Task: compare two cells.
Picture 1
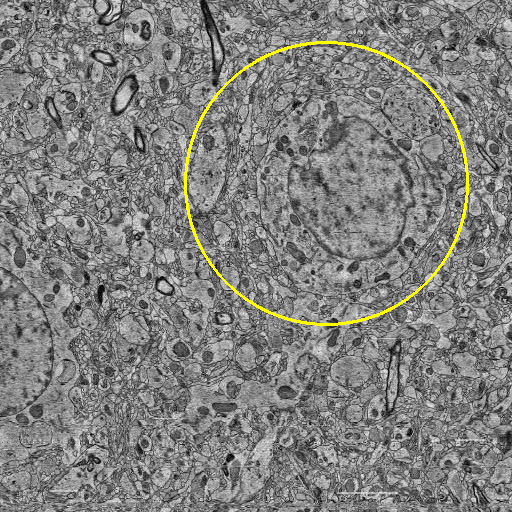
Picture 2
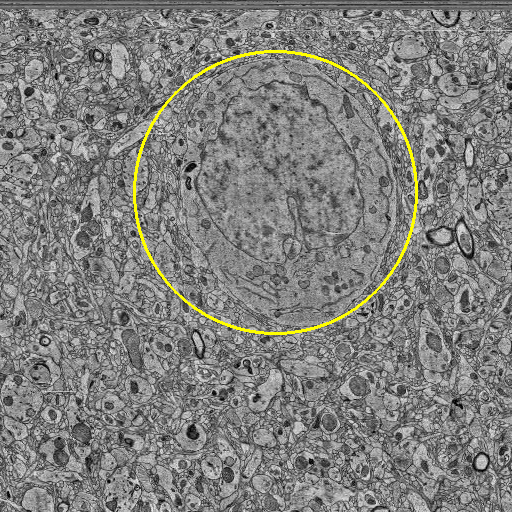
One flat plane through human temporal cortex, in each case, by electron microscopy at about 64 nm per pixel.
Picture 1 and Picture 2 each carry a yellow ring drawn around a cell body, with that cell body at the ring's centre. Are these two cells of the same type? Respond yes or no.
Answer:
yes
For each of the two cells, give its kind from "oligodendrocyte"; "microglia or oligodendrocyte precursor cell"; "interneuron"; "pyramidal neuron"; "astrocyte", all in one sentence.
Each of the ringed cells, first and second, is an interneuron.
